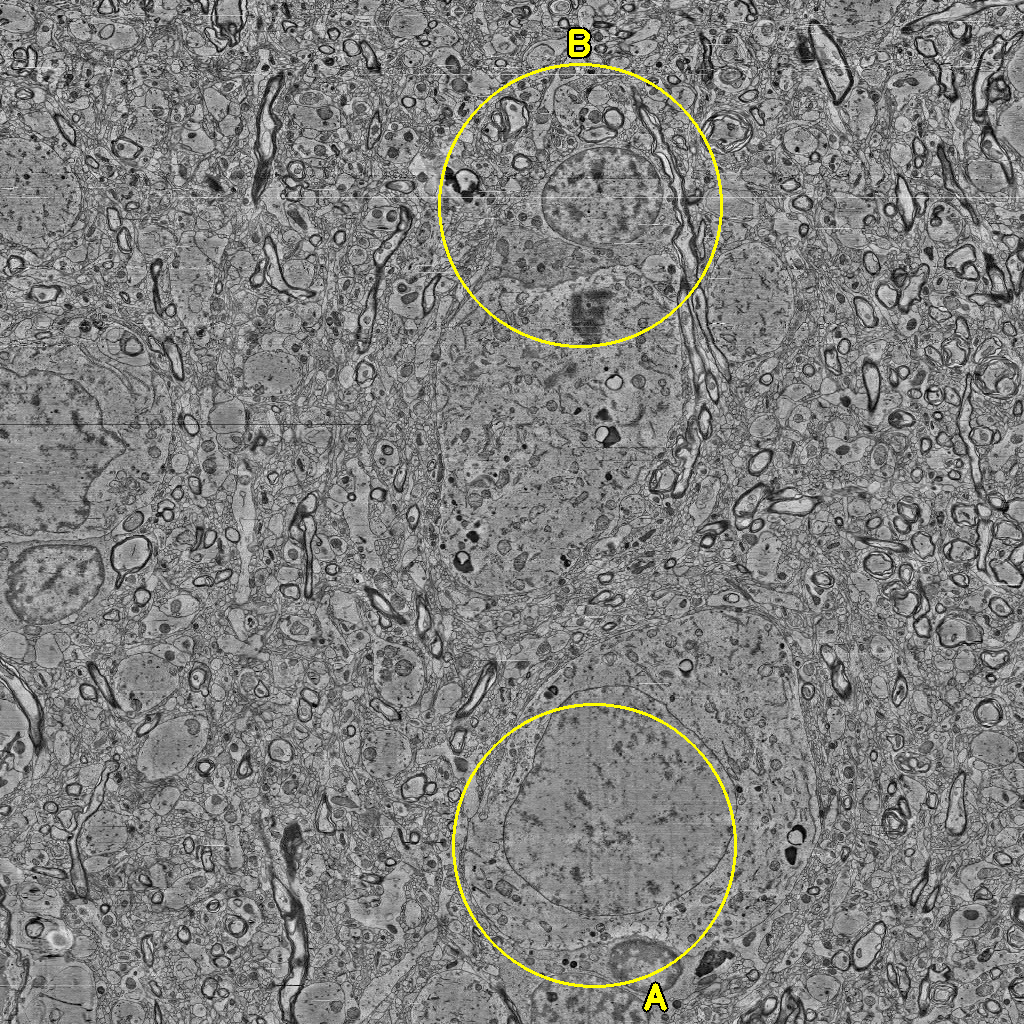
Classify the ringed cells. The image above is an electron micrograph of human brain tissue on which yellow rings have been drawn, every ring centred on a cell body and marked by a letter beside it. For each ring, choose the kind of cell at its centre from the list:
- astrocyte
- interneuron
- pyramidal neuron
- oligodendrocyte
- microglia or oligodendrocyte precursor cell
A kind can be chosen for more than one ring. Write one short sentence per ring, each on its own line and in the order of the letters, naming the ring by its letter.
Ring A is placed around a pyramidal neuron.
Ring B is placed around an oligodendrocyte.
